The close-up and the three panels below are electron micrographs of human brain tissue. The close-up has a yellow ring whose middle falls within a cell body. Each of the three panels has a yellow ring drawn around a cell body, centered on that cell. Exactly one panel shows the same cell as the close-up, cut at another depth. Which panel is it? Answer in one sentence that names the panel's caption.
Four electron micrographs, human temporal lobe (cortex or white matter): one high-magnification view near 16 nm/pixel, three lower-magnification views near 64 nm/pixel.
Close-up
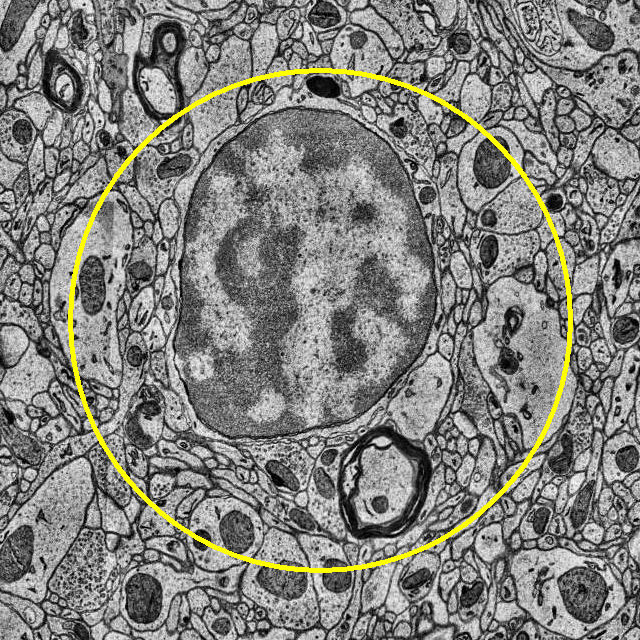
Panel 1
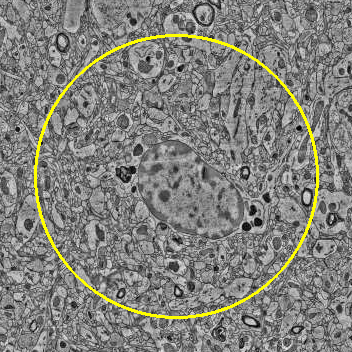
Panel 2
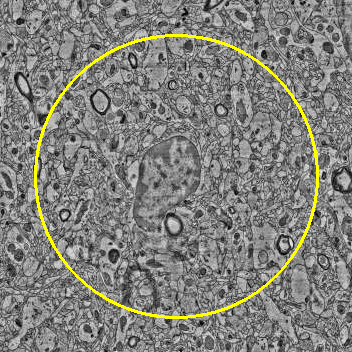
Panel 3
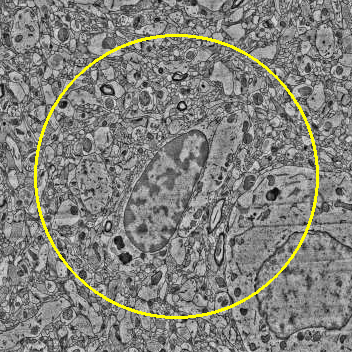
The cell of the close-up is the one in Panel 2.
